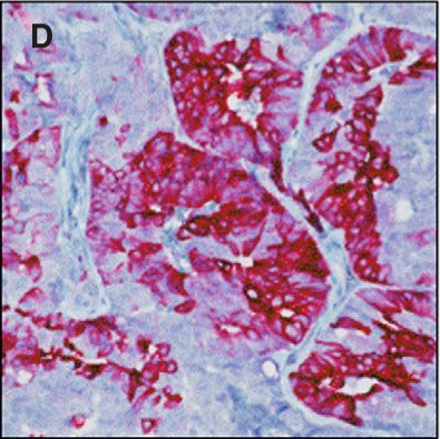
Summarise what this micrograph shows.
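This shows nests of carcinoma cells separated by thin fibrous septa, with the tumor cells stained intensely red. The red stain outlines and fills the cytoplasm of many cells, especially along lining surfaces around small gland-like lumens. The stain is patchy, with some cells in the nests much paler. The thin stromal septa between the nests are blue and unstained.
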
